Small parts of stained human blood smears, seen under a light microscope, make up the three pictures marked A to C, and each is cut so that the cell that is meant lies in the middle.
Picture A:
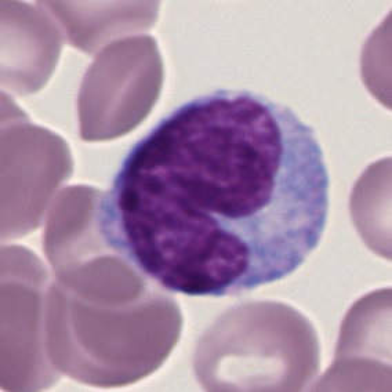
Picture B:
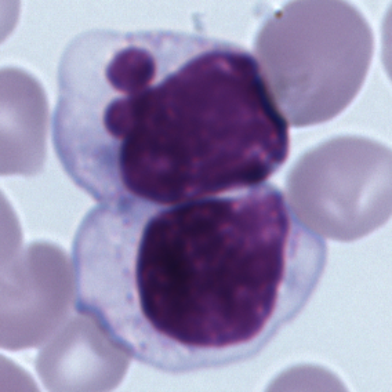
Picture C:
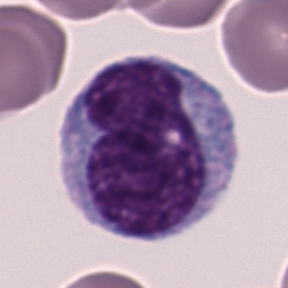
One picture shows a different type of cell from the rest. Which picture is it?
B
